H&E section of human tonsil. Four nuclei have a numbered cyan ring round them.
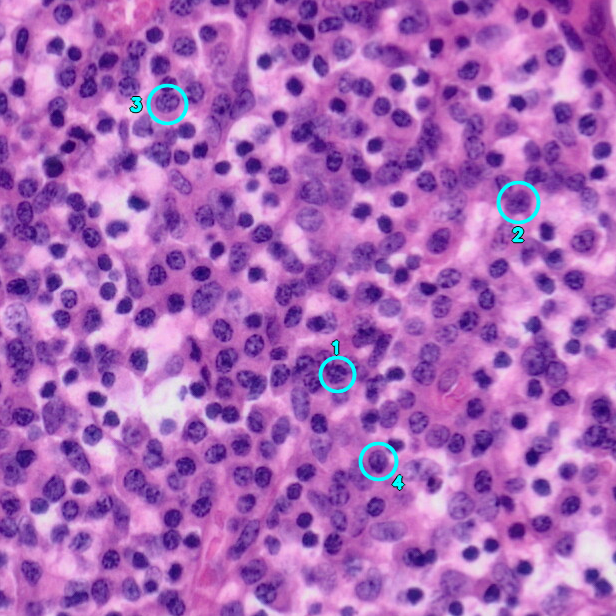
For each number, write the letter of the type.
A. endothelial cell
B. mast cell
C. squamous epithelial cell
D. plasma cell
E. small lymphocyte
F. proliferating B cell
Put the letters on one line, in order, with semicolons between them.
D; C; D; D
